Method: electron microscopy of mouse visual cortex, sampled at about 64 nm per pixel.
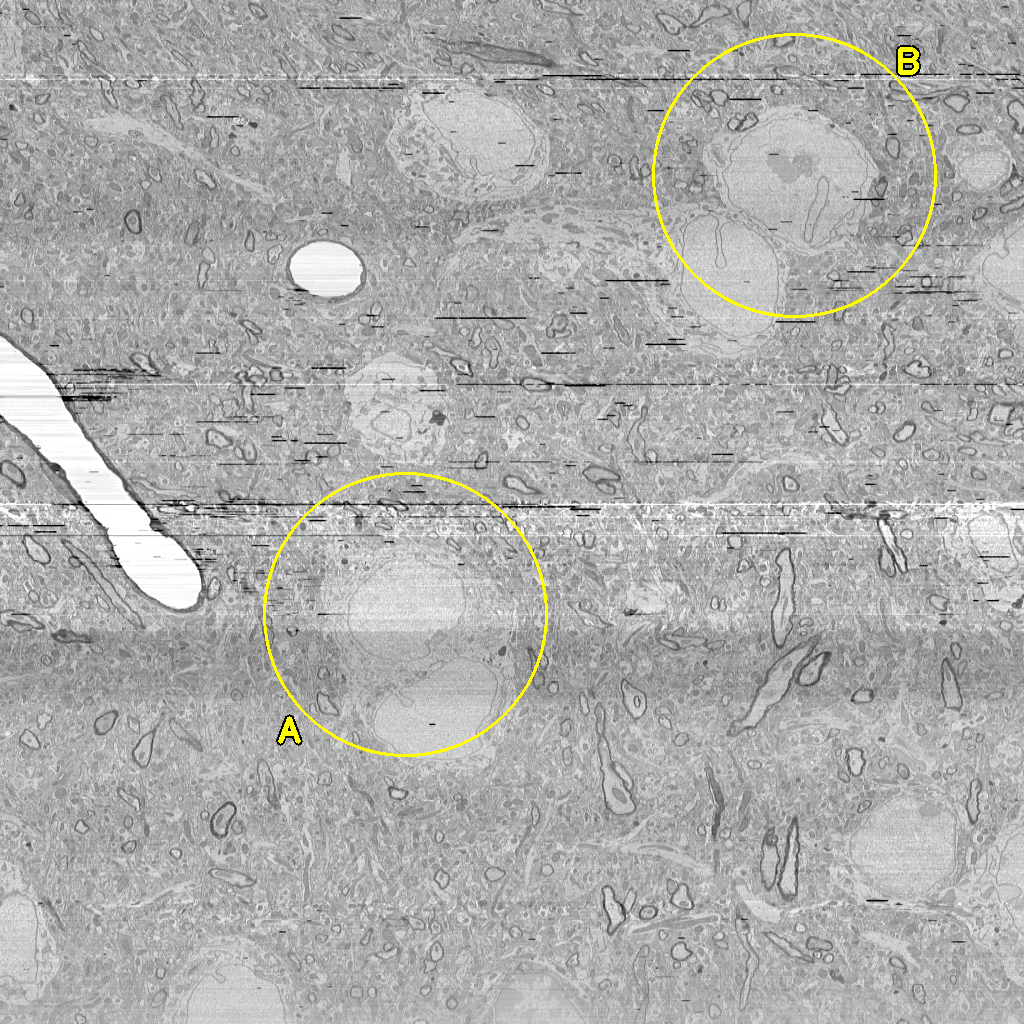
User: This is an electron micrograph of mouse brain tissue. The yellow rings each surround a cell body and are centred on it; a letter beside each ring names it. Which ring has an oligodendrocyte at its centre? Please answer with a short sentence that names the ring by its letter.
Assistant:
Ring A has it at its centre.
